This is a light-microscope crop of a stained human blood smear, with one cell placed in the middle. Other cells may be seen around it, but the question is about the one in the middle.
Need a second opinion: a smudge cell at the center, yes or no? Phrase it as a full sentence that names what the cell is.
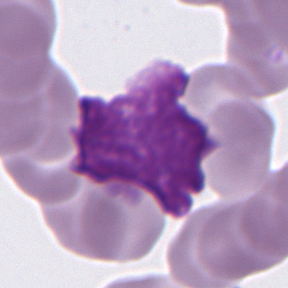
Yes, the cell under consideration, the one in the middle, is a smudge cell.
